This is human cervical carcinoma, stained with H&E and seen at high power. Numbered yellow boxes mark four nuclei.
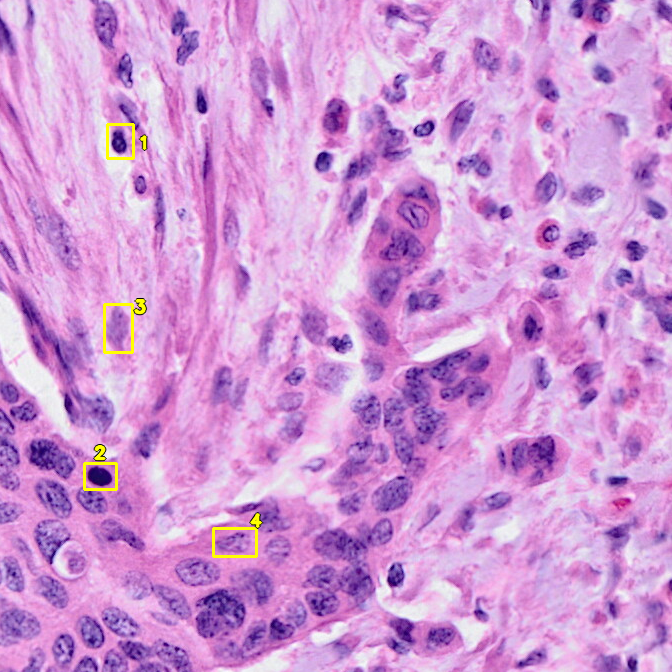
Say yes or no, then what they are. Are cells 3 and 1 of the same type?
No, cell 3 is a fibroblast and cell 1 is a lymphocyte.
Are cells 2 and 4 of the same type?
Yes, both are squamous carcinoma cells.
